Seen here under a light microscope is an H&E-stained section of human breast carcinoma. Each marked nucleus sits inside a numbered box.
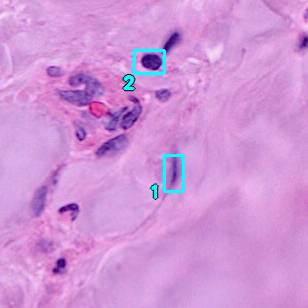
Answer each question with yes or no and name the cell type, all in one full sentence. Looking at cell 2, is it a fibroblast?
No, cell number 2 is identified as a lymphocyte, not as a fibroblast.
